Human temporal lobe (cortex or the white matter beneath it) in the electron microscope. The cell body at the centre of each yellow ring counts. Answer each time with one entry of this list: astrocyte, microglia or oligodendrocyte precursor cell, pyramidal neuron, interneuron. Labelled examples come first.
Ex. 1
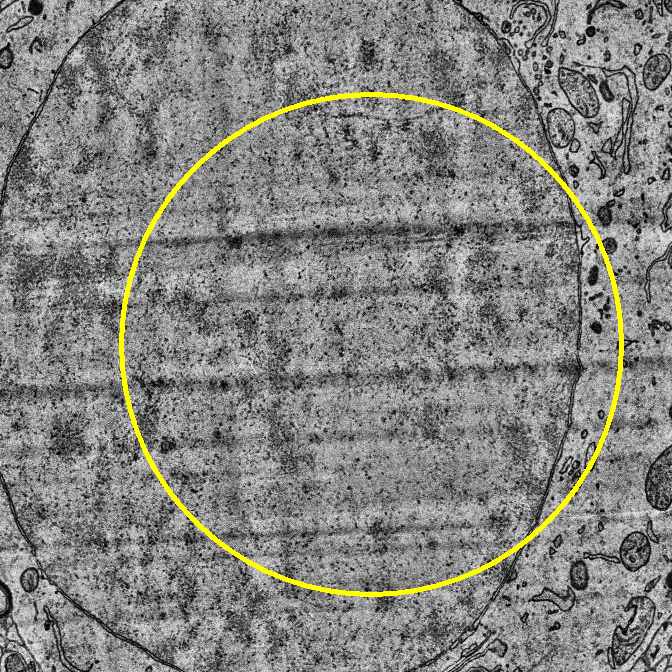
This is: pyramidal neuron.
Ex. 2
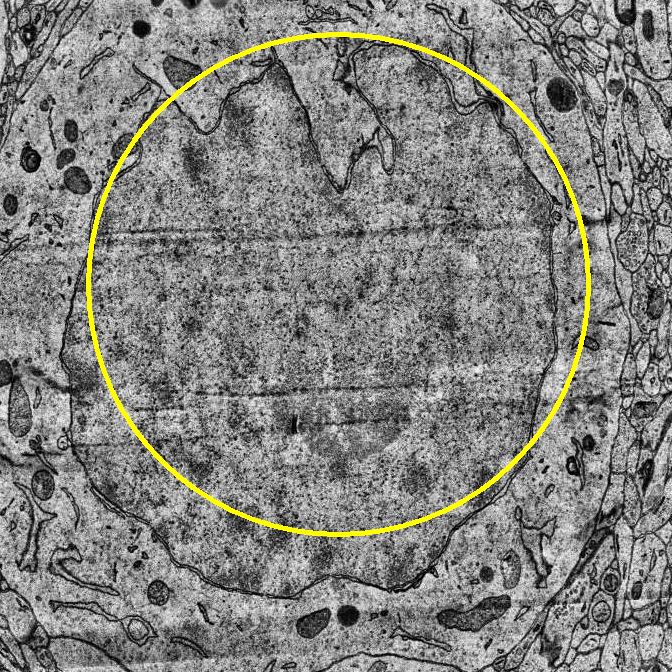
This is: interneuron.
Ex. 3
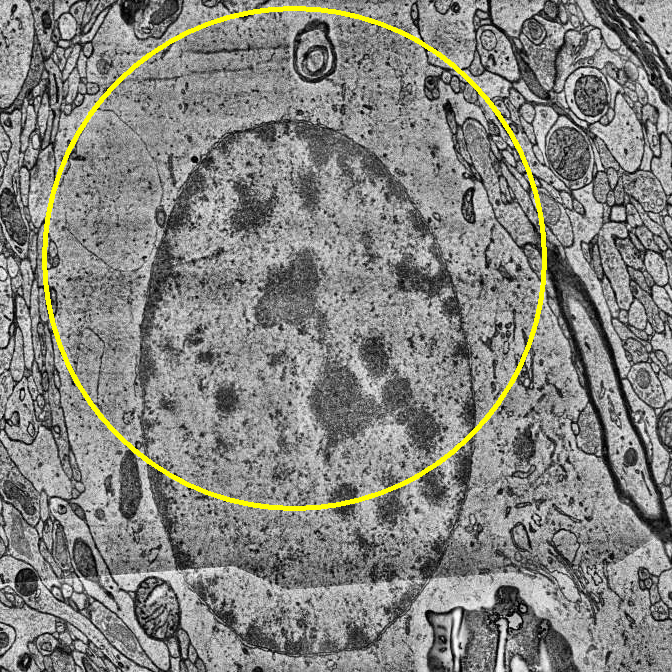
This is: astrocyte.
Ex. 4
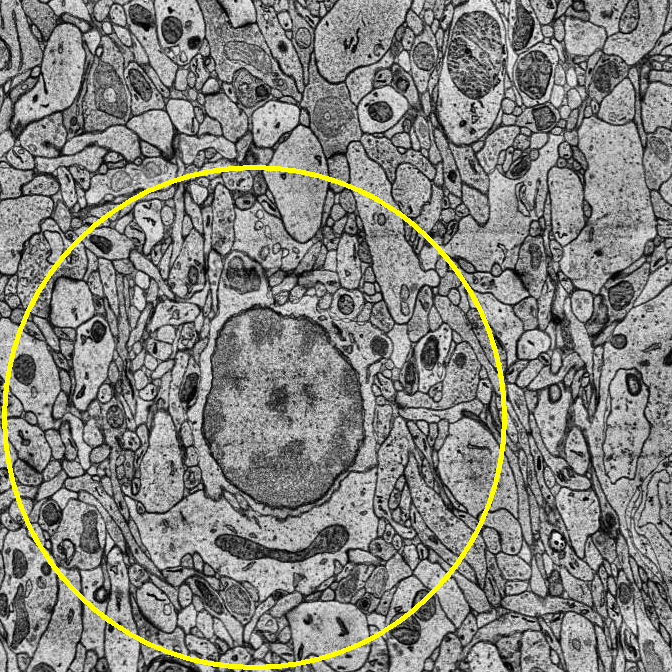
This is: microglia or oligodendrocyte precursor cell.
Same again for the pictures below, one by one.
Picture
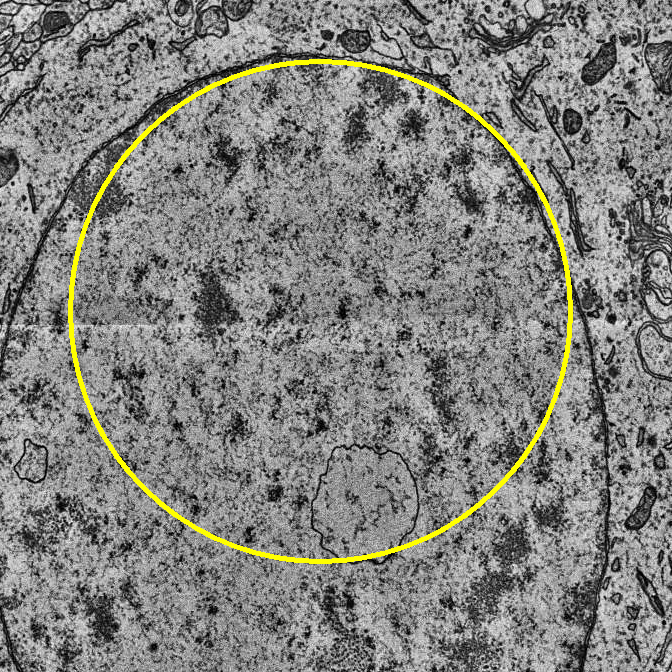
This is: pyramidal neuron.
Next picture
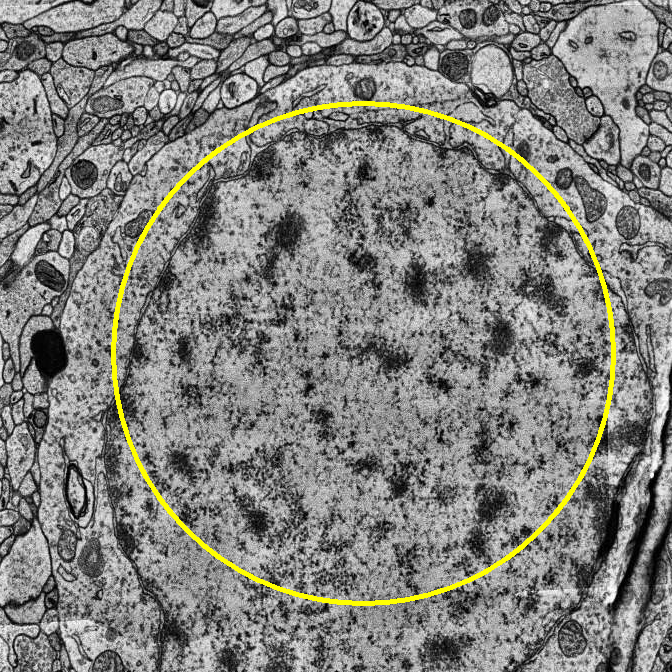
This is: interneuron.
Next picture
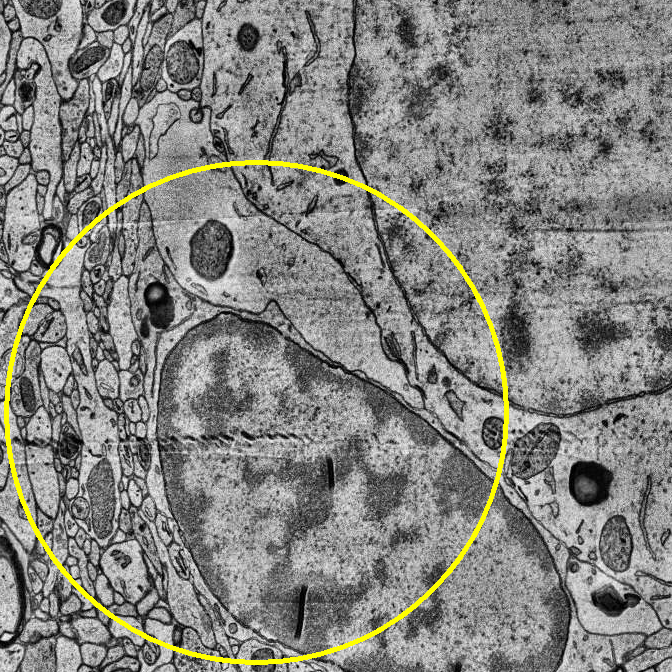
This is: microglia or oligodendrocyte precursor cell.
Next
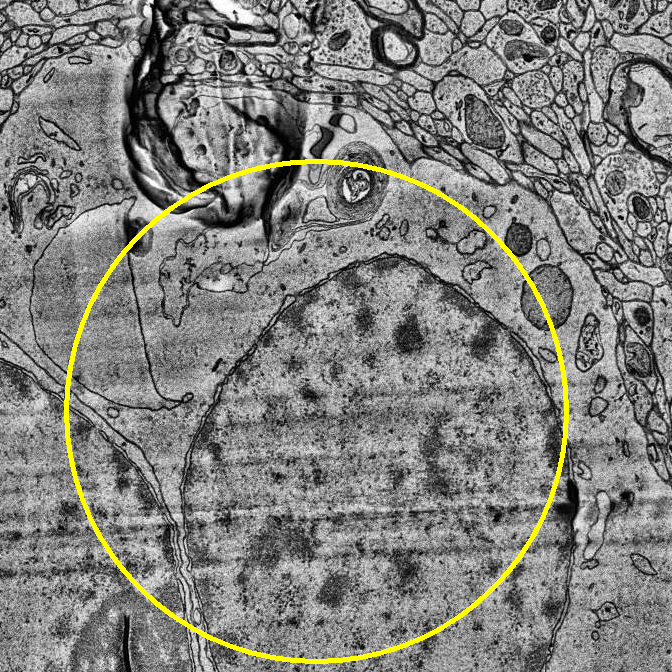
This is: astrocyte.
